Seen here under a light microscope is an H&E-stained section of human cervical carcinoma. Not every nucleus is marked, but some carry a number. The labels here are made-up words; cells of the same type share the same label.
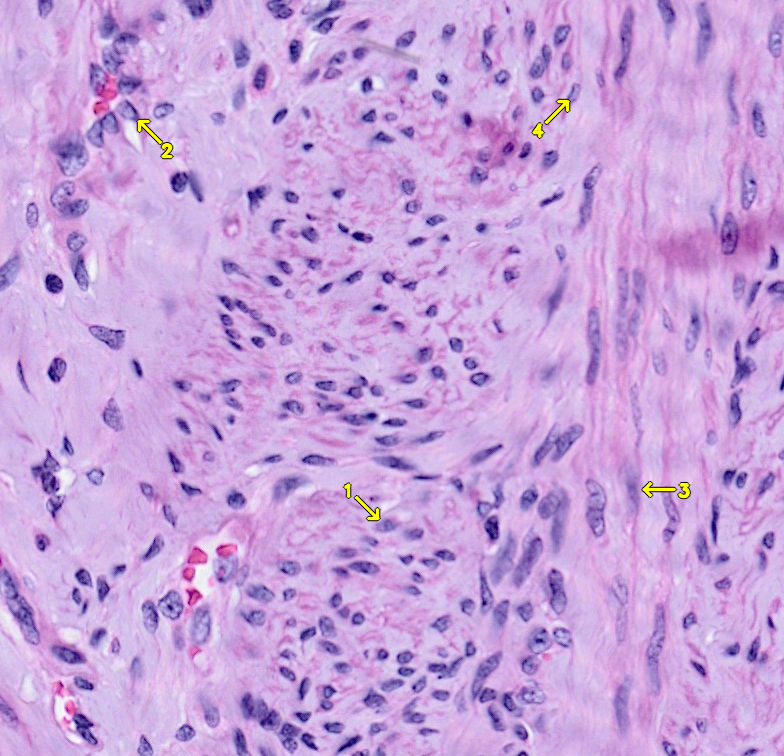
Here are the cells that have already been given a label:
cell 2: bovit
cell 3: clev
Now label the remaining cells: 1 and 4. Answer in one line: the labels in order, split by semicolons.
clev; clev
